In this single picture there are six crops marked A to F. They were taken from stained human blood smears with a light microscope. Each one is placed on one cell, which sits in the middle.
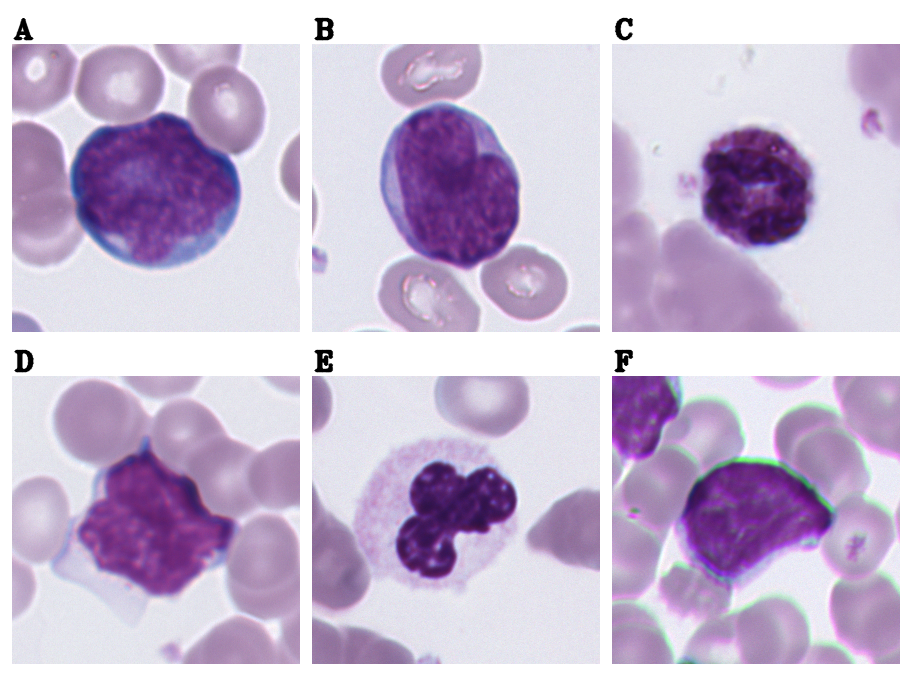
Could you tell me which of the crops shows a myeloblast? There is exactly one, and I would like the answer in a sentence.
So the crop with a myeloblast at its center is crop A.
